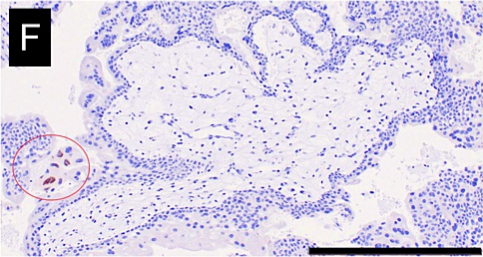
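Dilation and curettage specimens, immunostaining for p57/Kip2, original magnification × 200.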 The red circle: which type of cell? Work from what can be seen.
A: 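Intermediate trophoblasts. The circled cells have brown-stained nuclei. They lie at the edge of a villus among blue-counterstained cells.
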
